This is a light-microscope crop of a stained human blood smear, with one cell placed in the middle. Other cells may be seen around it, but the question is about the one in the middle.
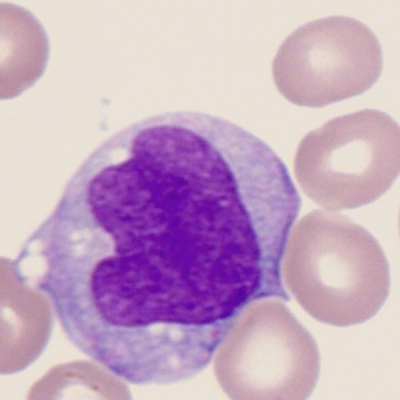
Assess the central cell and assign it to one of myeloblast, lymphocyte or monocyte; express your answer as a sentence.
Where the crop is centred, there is a monocyte.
